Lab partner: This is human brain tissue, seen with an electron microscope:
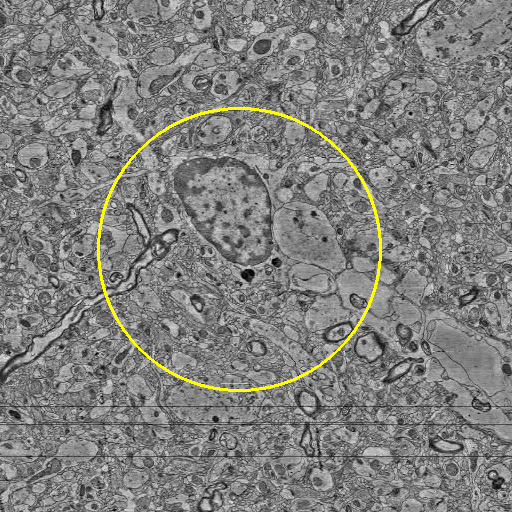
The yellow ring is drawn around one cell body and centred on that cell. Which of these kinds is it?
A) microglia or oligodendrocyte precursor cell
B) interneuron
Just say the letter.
A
